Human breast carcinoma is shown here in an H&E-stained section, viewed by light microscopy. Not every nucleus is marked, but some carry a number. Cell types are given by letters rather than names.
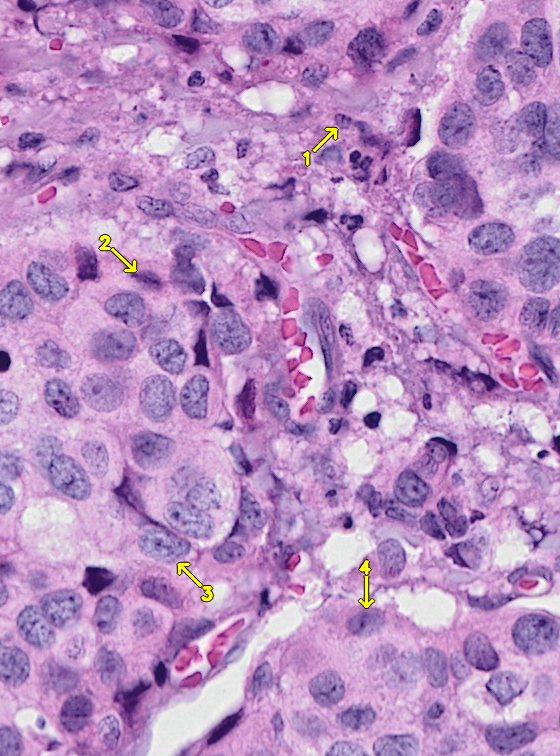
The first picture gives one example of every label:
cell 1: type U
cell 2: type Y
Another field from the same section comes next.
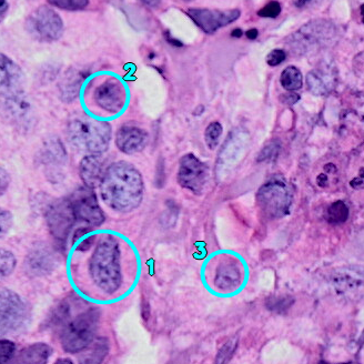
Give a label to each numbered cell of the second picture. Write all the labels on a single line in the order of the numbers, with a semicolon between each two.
type Y; type Y; type U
